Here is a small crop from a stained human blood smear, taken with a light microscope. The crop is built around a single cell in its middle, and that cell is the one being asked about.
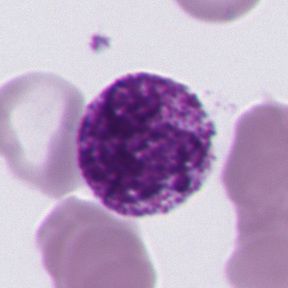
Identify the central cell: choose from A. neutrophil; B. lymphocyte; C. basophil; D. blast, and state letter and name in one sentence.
Option C is correct, and the cell in the centre is a basophil.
